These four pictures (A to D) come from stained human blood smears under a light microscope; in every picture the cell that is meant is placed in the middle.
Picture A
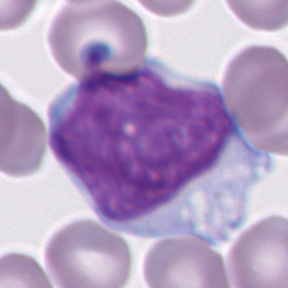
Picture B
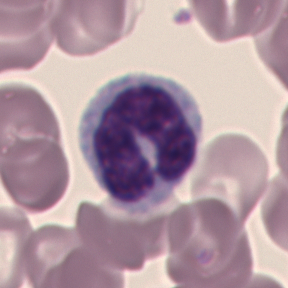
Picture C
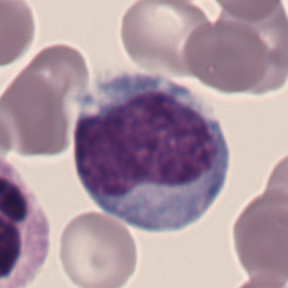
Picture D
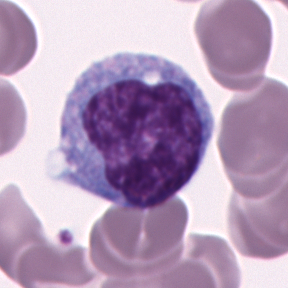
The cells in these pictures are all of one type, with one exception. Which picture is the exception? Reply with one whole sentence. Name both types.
Picture A differs, because its cell is a myeloblast and the rest are monocytes.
